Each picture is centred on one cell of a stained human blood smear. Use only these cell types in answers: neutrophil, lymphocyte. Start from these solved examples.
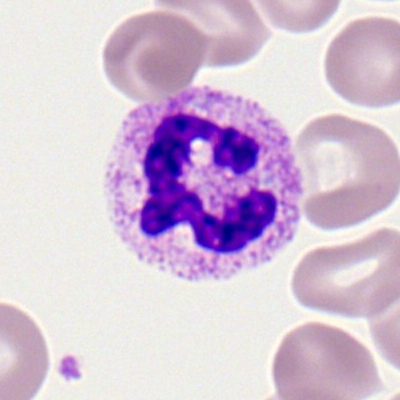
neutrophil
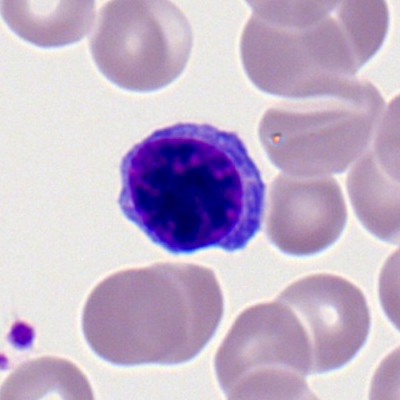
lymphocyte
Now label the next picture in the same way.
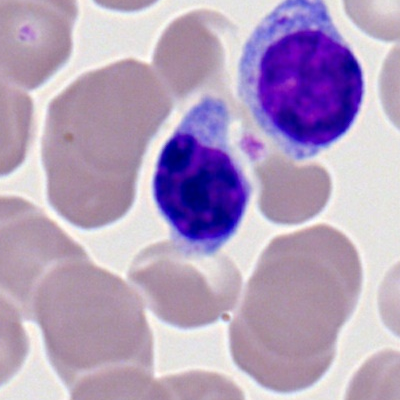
lymphocyte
